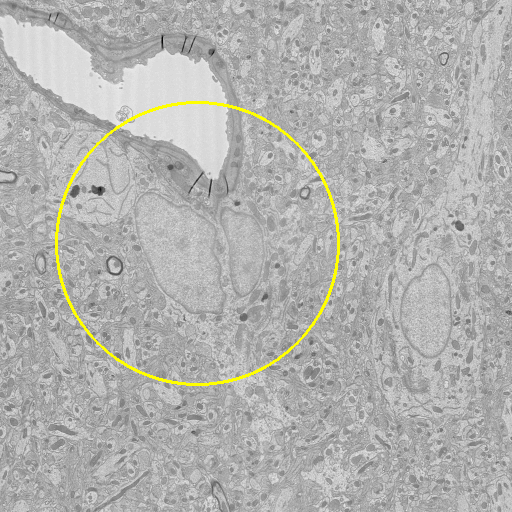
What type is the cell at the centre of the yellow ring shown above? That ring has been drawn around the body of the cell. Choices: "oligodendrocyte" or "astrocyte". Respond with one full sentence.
My answer is that an astrocyte lies at the centre of the yellow ring above.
